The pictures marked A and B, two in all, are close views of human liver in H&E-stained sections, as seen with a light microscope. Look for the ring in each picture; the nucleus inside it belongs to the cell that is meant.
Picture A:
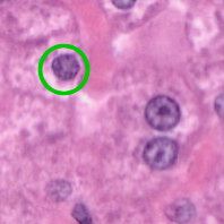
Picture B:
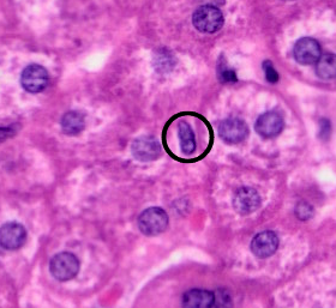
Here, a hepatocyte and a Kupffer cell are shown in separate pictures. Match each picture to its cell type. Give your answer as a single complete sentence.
It is picture A that shows a hepatocyte, and picture B that shows a Kupffer cell.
